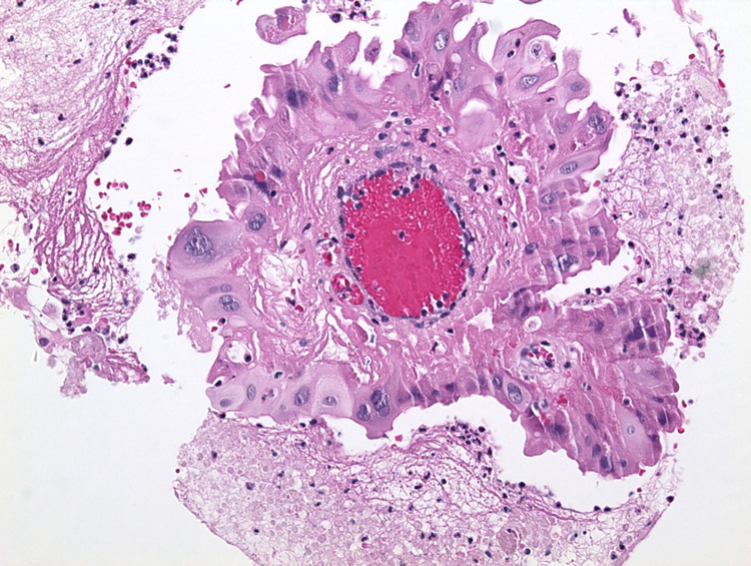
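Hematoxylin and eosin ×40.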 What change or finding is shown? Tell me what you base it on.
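Eosinophilic dysplasia. The lining cells have abundant deep pink cytoplasm. The nuclei are enlarged and irregular, some with visible nucleoli. The nuclei vary in size and are not evenly placed.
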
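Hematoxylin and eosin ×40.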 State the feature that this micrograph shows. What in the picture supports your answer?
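A central core holding a blood-filled vessel is surrounded by stroma. Epithelial cells line the outside of this core, radiating outward in a finger-like projection.
Answer: papillae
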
